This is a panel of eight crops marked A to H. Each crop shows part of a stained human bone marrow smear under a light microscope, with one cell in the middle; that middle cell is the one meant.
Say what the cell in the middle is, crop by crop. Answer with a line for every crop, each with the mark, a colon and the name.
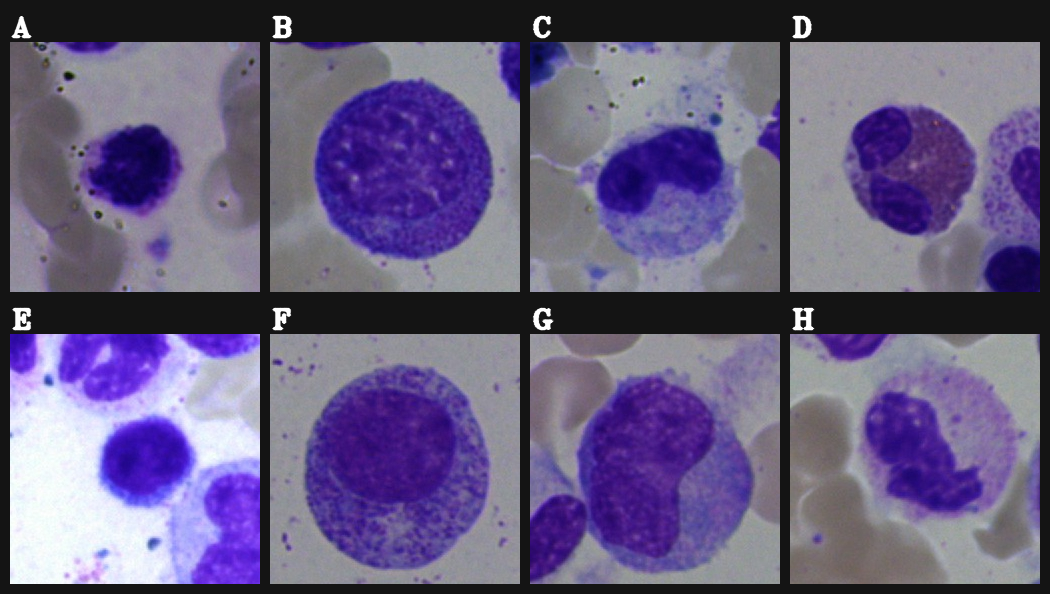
A: basophil
B: promyelocyte
C: metamyelocyte
D: eosinophil
E: lymphocyte
F: myelocyte
G: monocyte
H: basophil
